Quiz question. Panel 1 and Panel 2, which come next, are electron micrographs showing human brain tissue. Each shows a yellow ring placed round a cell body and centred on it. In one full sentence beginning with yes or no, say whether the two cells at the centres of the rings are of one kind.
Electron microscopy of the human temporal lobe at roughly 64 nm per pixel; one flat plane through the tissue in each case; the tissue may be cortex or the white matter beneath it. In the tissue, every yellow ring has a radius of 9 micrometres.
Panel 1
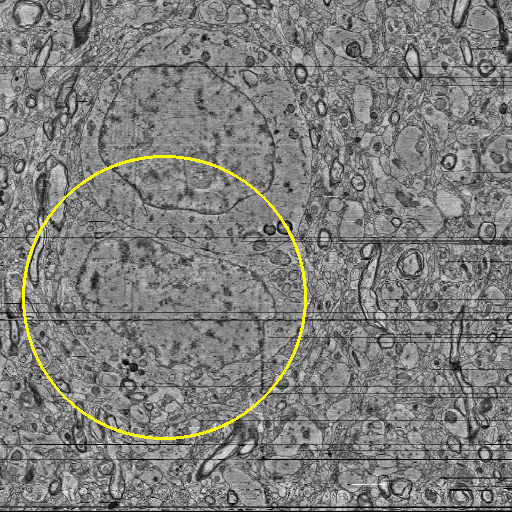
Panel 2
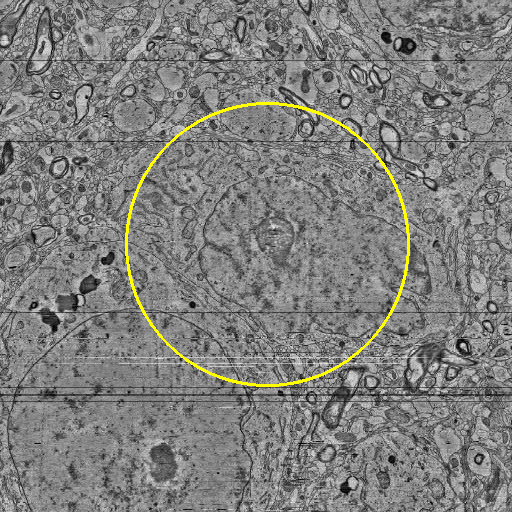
Yes, Panel 1 and Panel 2 show one kind of cell at the centre of the ring.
